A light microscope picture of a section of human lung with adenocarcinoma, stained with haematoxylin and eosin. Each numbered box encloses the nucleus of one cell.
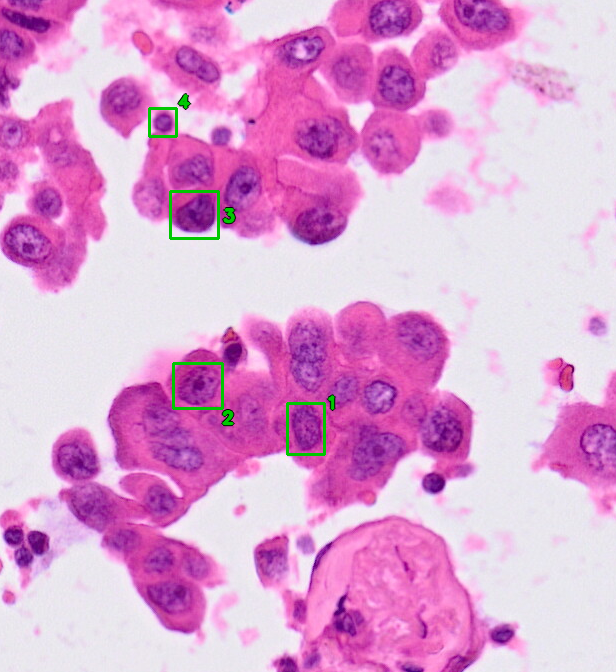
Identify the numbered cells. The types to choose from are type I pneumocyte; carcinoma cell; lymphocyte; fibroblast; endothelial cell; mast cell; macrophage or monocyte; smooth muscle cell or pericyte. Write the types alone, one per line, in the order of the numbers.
carcinoma cell
carcinoma cell
carcinoma cell
lymphocyte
